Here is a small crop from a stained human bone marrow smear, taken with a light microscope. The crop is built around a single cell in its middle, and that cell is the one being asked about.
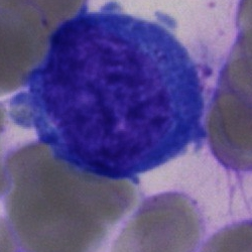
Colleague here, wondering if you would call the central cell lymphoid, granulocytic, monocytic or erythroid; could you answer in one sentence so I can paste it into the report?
The central cell in this crop is categorized under the erythroid lineage.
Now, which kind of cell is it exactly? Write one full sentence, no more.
Positioned in the middle of the crop is a proerythroblast.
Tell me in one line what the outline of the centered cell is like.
Along the periphery, ragged stretches or projections make the outline irregular.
